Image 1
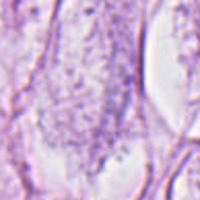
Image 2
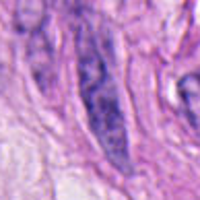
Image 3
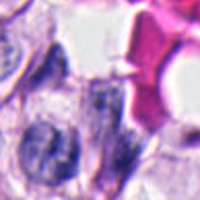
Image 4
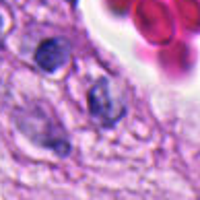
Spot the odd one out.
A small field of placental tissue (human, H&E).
Picture 1 (a maternal decidual cell among vascular myocytes).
